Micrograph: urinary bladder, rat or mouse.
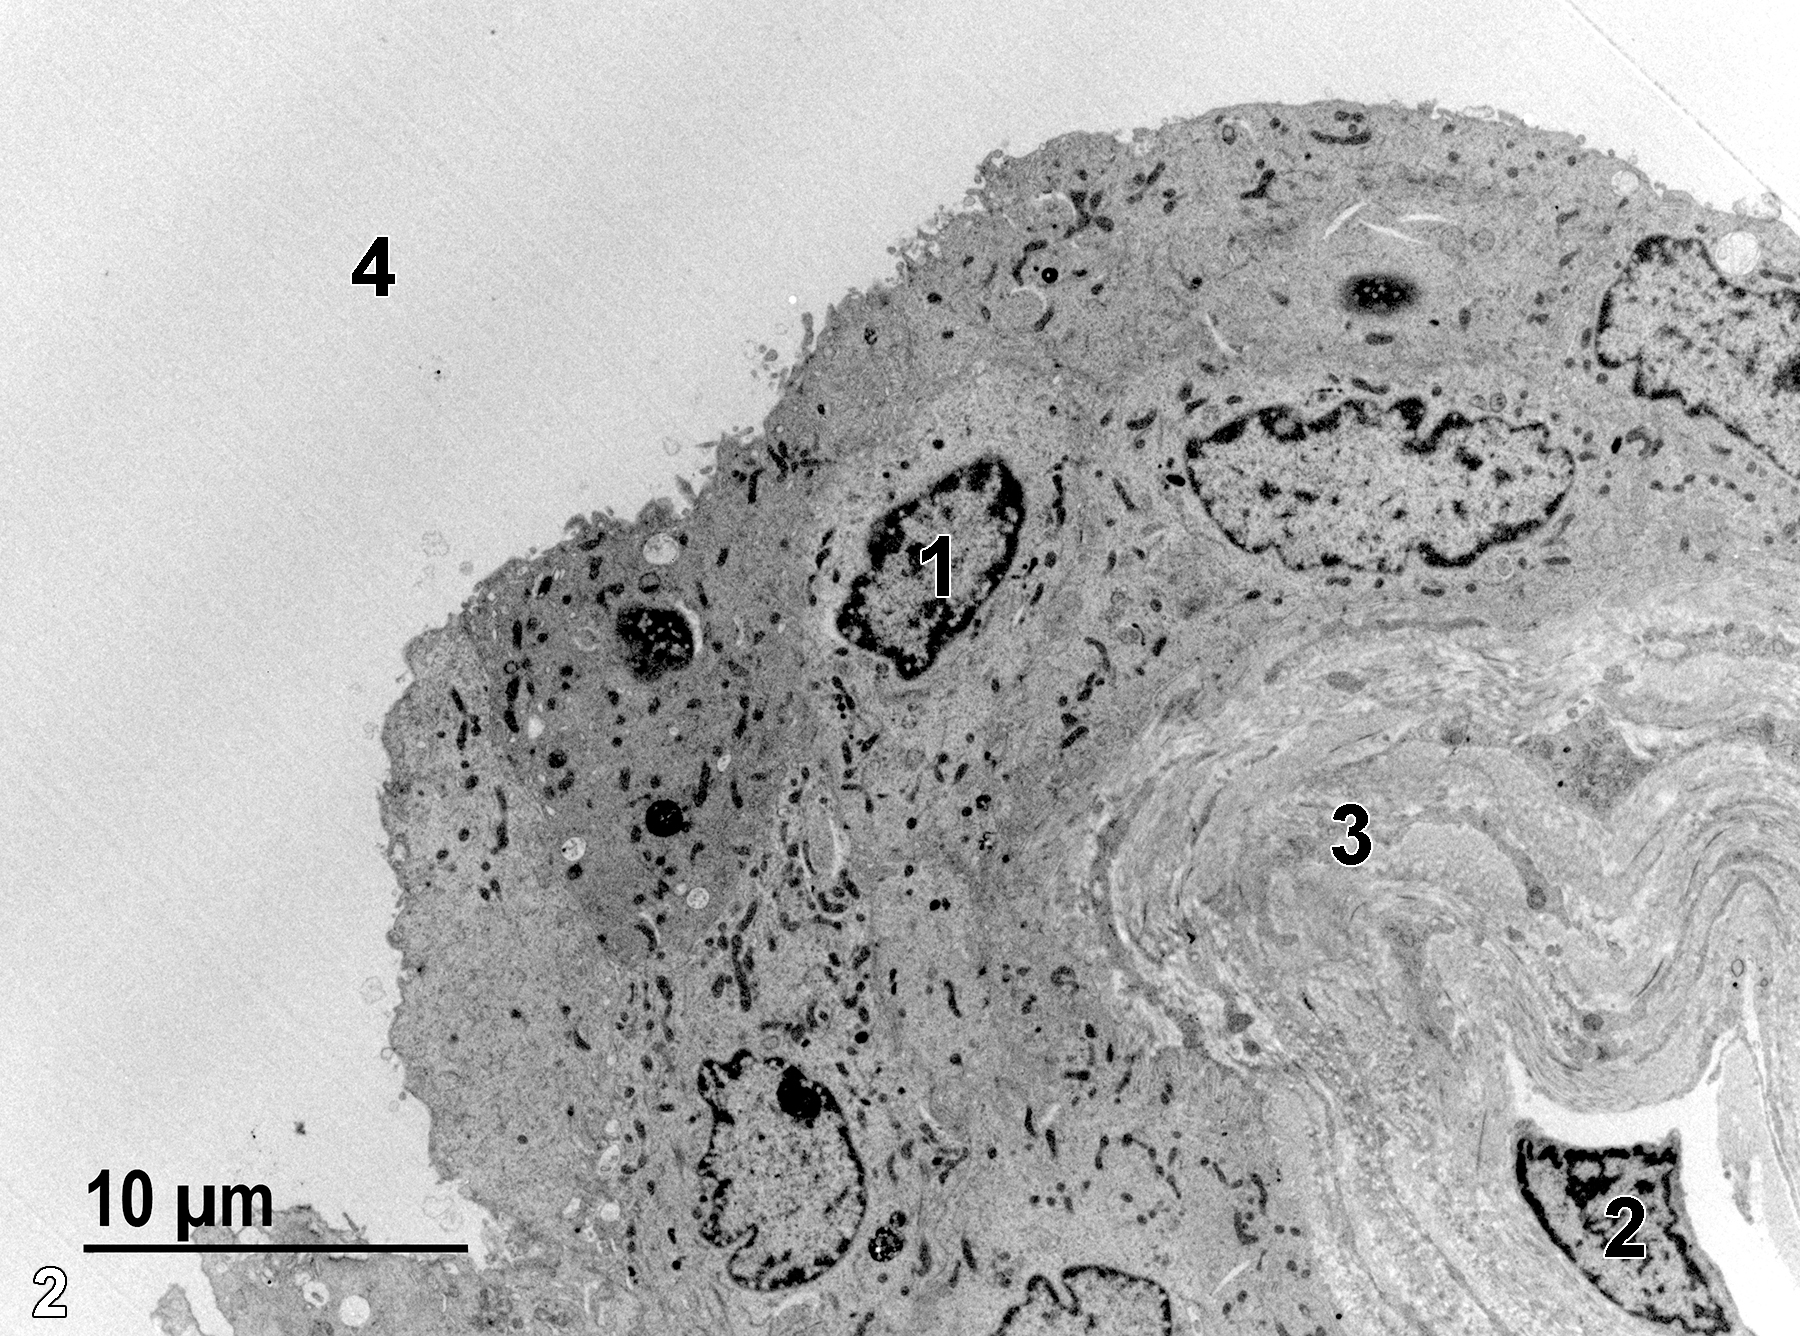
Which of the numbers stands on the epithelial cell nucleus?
Number 1.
